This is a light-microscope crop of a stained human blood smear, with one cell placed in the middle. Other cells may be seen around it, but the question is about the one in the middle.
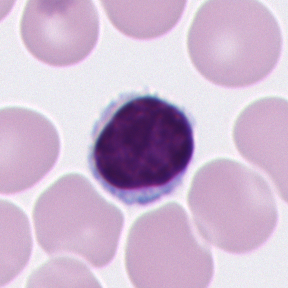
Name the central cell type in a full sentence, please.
Positioned in the middle of the crop is a typical lymphocyte.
